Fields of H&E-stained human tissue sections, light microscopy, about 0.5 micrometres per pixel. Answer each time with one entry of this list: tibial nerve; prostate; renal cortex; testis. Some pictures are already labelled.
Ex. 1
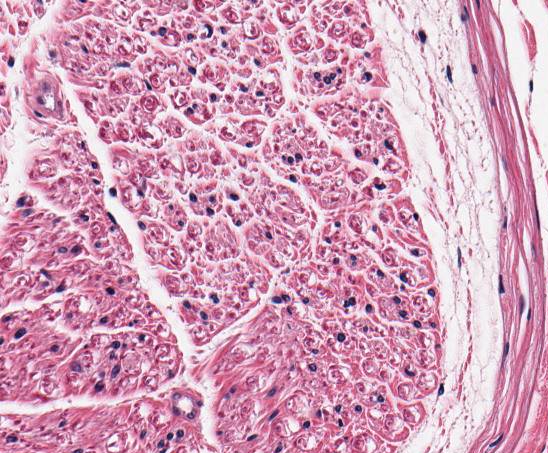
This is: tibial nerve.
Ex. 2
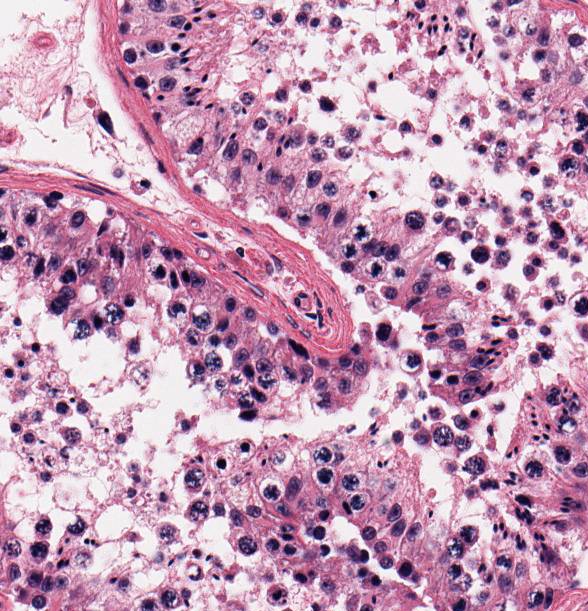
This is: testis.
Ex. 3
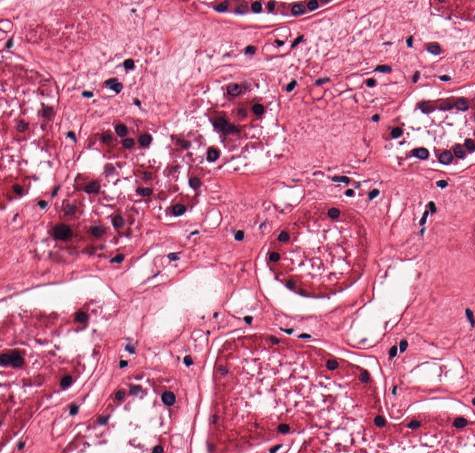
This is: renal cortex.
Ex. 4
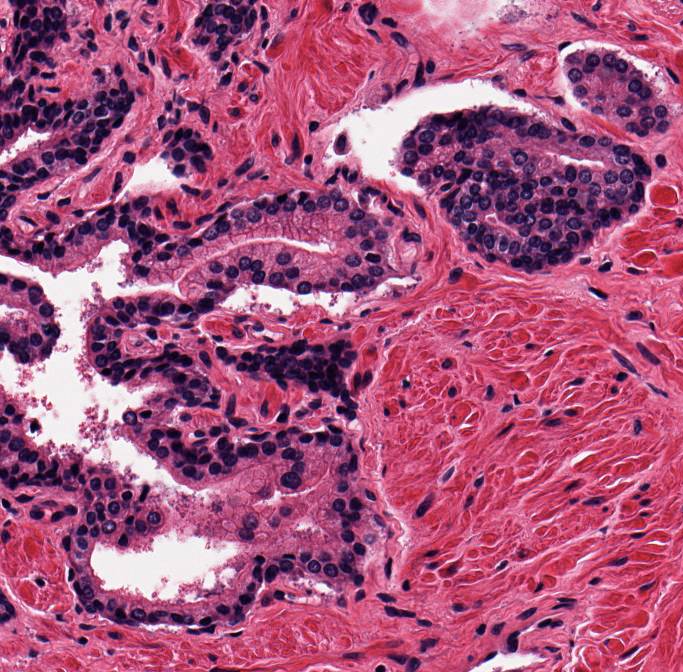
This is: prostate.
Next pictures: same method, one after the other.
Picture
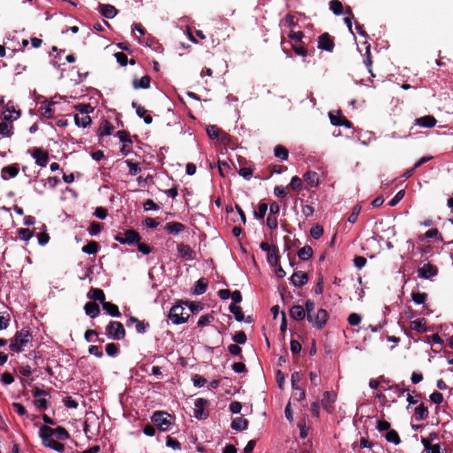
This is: testis.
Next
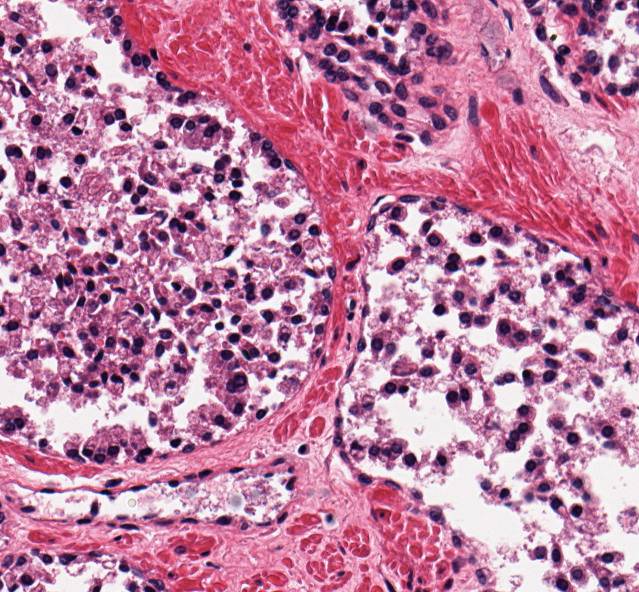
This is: prostate.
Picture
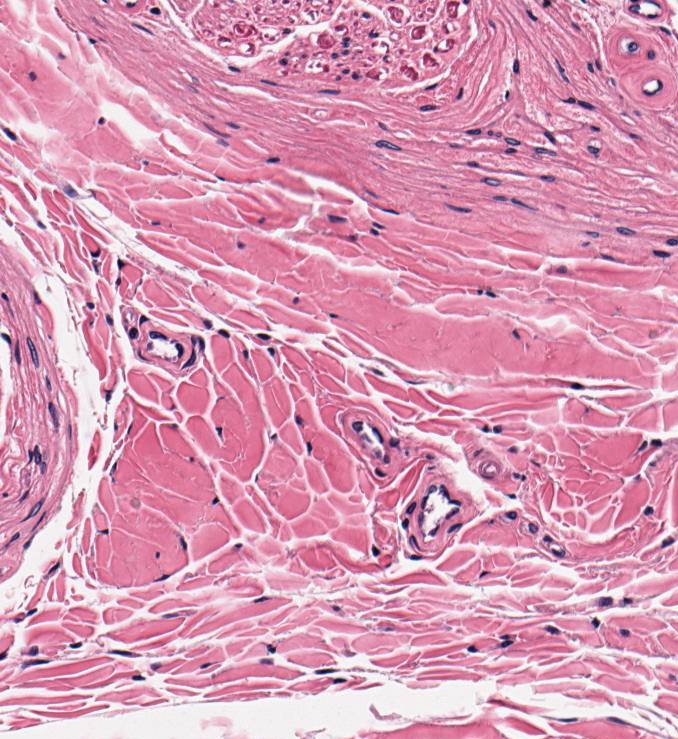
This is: tibial nerve.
